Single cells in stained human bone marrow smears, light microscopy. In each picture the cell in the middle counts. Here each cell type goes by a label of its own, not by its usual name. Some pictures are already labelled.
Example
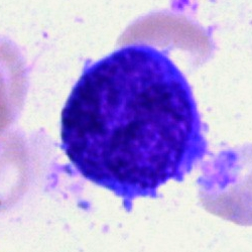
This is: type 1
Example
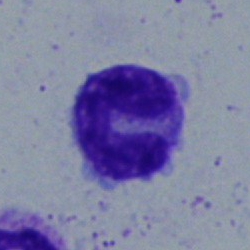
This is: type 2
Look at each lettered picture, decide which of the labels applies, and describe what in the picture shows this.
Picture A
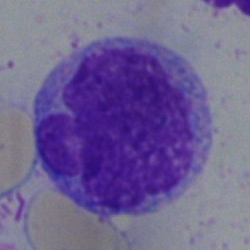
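type 1: The nucleus fills most of the cell.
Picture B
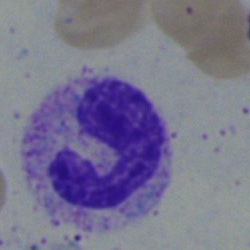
type 2: The chromatin is dark purple and coarsely clumped.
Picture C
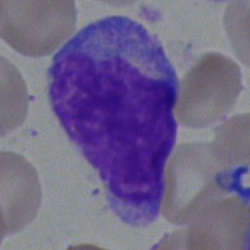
type 1: The chromatin is finely stippled rather than clumped into coarse blocks.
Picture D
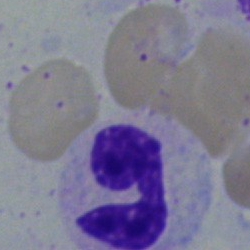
type 2: The nucleus is a thick band bent into a hook shape.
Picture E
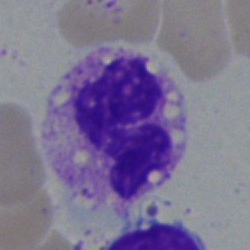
type 2: Fine purple granules are scattered through the cytoplasm.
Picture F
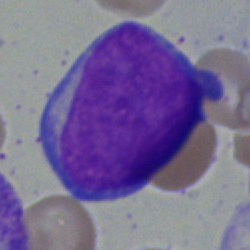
type 1: The cytoplasm is a scant, deep blue rim around the nucleus.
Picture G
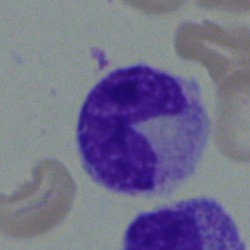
type 2: The chromatin is dark purple and coarsely clumped, with paler patches.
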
